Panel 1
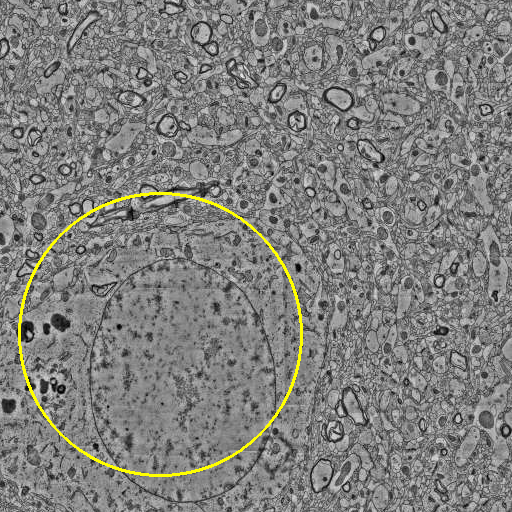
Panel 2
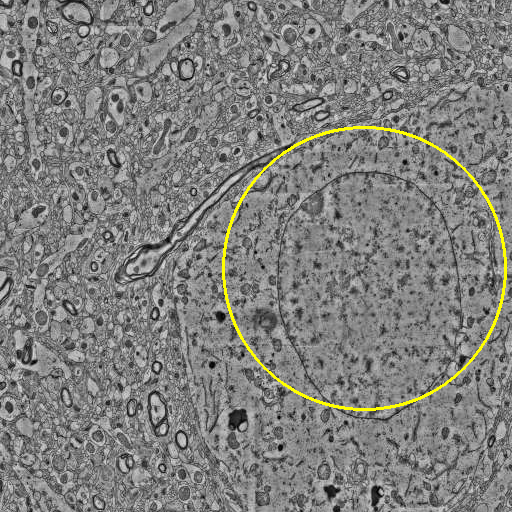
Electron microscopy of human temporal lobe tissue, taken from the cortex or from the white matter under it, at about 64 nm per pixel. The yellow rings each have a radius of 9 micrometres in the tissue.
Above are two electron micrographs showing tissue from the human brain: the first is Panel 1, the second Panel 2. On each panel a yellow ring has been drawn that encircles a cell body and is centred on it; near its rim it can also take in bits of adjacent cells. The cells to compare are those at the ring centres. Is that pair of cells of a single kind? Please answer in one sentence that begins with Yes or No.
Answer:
Yes, the ring-centred cells of Panel 1 and Panel 2 belong to one kind.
